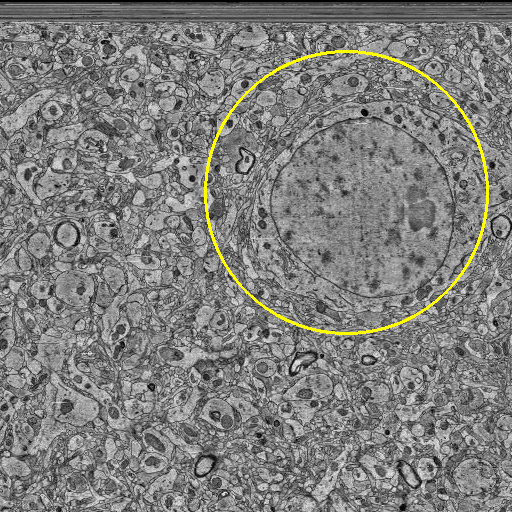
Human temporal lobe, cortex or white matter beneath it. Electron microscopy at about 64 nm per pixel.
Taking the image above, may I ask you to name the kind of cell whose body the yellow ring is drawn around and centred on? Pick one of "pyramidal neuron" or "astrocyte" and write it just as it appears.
pyramidal neuron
